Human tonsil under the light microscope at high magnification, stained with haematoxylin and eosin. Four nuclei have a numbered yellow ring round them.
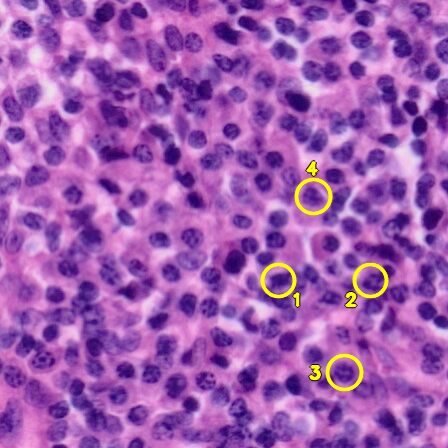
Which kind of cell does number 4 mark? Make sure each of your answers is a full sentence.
The cell whose nucleus carries the number 4 is a plasma cell.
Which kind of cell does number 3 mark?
The cell numbered 3 represents a plasma cell.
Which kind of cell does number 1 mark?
The expected answer is that cell 1 is a small lymphocyte.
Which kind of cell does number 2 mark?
The correct label for cell 2 is a plasma cell.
